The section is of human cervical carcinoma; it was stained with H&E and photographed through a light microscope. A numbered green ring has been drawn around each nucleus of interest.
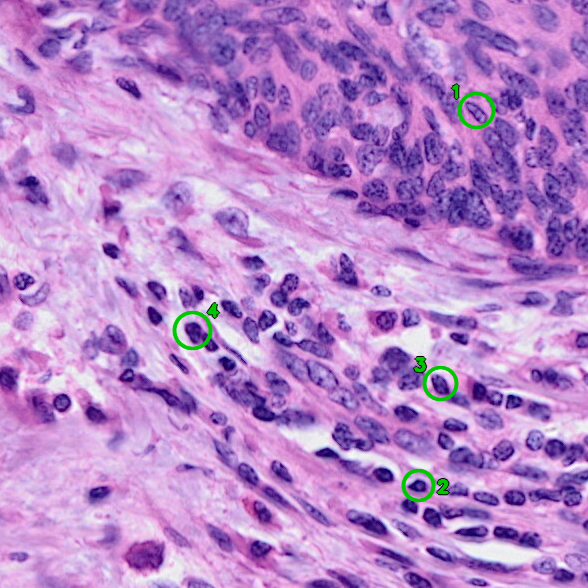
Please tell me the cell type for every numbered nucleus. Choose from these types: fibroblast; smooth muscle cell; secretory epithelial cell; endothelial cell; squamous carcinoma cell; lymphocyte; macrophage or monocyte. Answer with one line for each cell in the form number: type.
1: squamous carcinoma cell
2: lymphocyte
3: lymphocyte
4: lymphocyte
